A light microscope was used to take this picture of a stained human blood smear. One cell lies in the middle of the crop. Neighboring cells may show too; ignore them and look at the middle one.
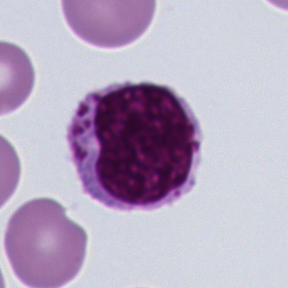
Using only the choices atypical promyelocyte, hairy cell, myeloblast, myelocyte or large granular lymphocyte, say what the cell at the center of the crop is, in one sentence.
Whatever else lies nearby, the middle cell is a large granular lymphocyte.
